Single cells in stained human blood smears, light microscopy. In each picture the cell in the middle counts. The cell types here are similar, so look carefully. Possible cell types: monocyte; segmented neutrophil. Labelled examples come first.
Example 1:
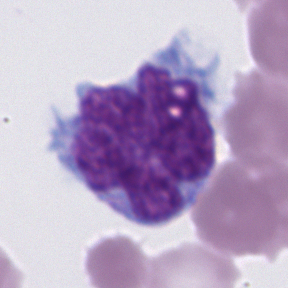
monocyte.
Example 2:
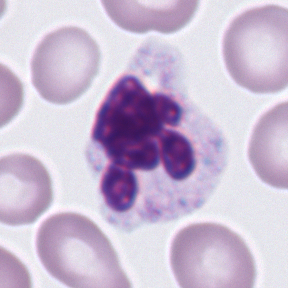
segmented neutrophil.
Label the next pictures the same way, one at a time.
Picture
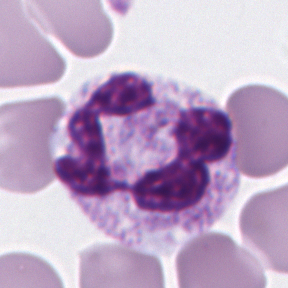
segmented neutrophil.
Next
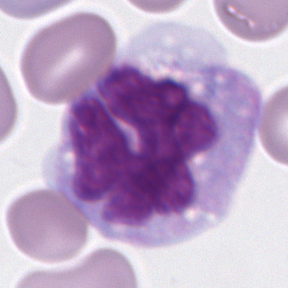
monocyte.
